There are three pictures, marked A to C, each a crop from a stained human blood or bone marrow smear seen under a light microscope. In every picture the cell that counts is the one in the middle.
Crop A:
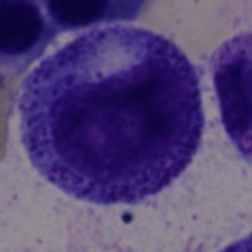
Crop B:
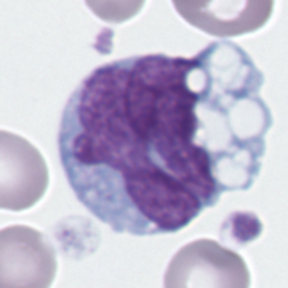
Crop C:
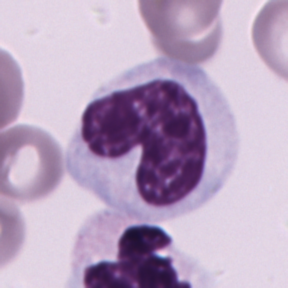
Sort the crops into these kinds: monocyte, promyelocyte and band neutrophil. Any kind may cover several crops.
A: promyelocyte
B: monocyte
C: band neutrophil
